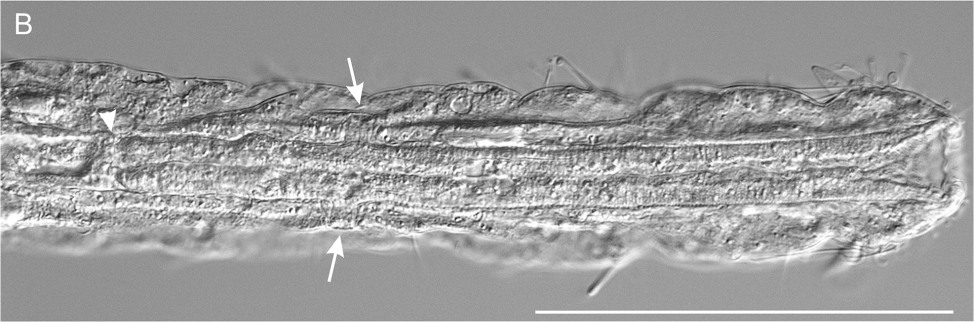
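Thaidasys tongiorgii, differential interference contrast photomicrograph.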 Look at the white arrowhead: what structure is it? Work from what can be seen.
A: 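The arrowhead marks the rear end of the long tubular organ. Beyond the arrowhead the internal structure changes in appearance. That points to this answer: pharyngo-intestinal junction.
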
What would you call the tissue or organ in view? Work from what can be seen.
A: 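A long tubular organ runs lengthwise through the anterior body. The tube has a narrow central lumen bordered by thick walls. That points to this answer: pharynx.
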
